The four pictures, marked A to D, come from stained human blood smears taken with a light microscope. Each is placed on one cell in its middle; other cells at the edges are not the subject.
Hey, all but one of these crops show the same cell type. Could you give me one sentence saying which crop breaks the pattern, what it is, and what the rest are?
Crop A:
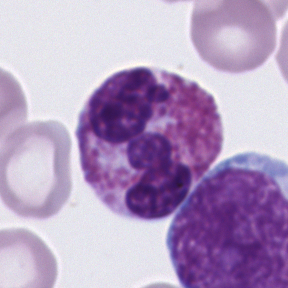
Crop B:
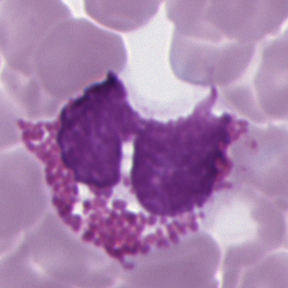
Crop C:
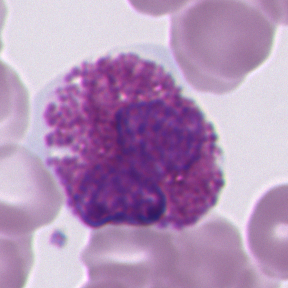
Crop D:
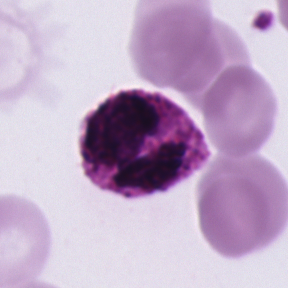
There is a basophil in crop D, while all the other crops show eosinophils.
